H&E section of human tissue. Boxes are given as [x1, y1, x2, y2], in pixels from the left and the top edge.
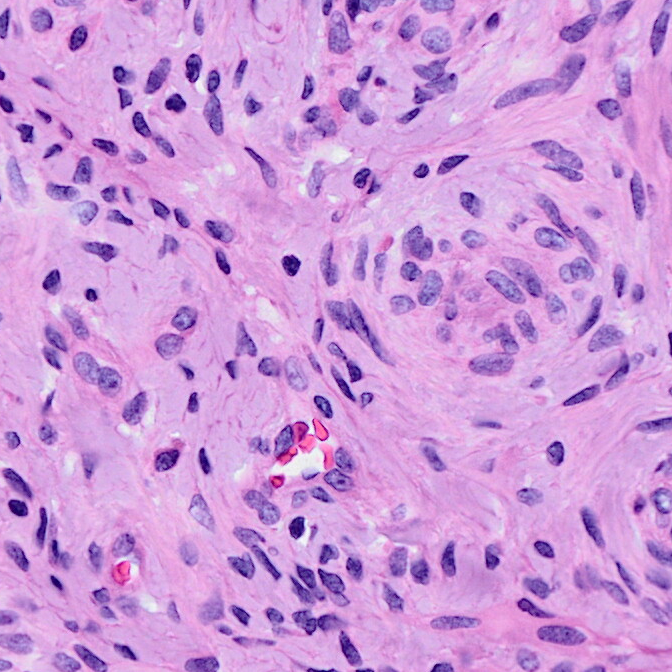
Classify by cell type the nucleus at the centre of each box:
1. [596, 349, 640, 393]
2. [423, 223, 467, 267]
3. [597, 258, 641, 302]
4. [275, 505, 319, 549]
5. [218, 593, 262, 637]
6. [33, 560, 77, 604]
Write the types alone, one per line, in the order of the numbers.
fibroblast
smooth muscle cell
fibroblast
lymphocyte
fibroblast
fibroblast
